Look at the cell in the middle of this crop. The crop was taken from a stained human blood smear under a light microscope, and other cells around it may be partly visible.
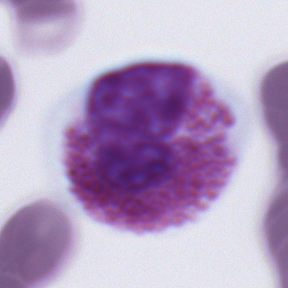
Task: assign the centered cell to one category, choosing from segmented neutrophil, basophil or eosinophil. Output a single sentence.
The cell of interest, in the center, is an eosinophil.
